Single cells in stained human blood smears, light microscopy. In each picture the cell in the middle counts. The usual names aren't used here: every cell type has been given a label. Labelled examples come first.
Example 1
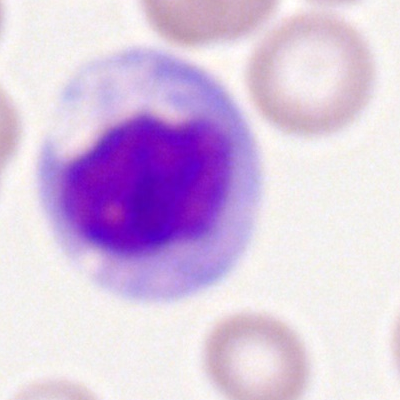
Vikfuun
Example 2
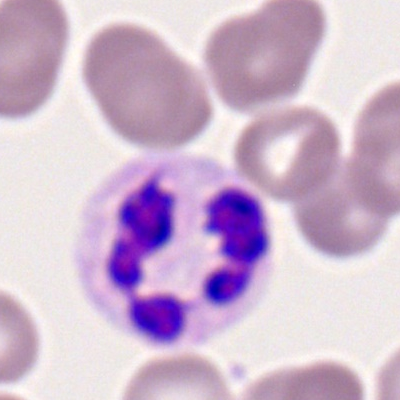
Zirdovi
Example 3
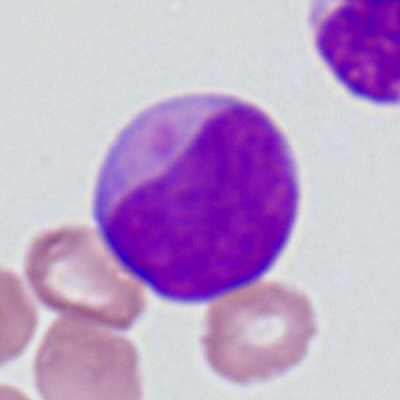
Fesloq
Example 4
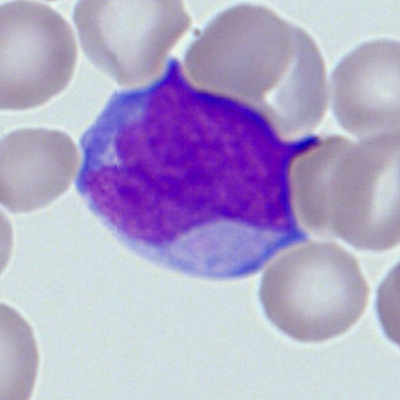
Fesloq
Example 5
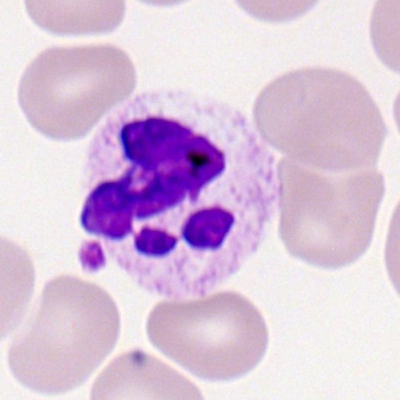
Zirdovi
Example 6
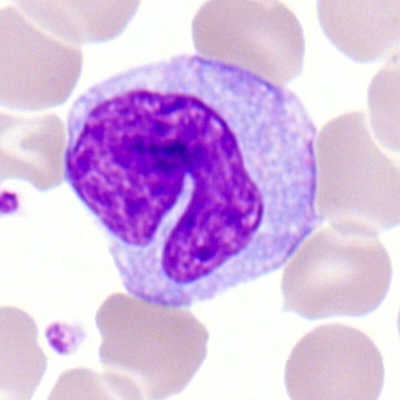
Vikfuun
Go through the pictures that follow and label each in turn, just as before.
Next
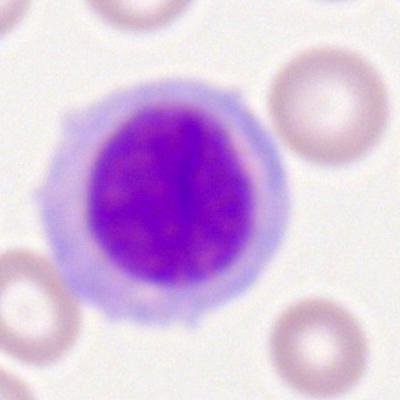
Vikfuun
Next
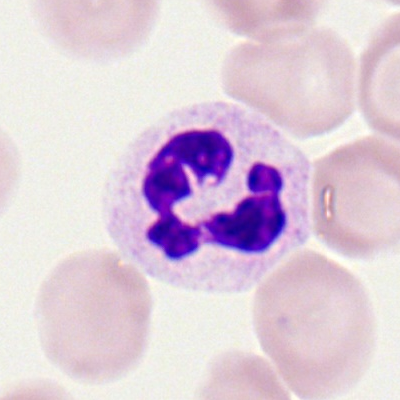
Zirdovi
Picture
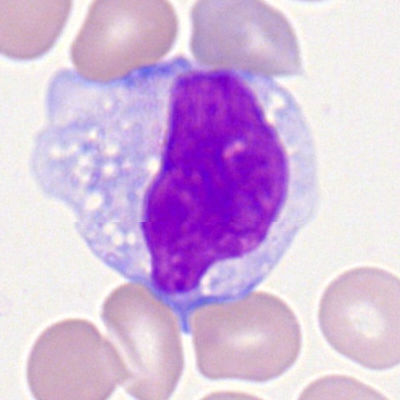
Vikfuun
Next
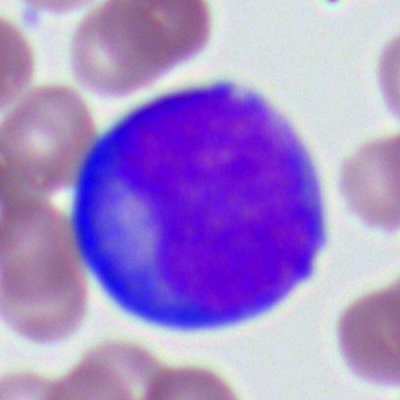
Fesloq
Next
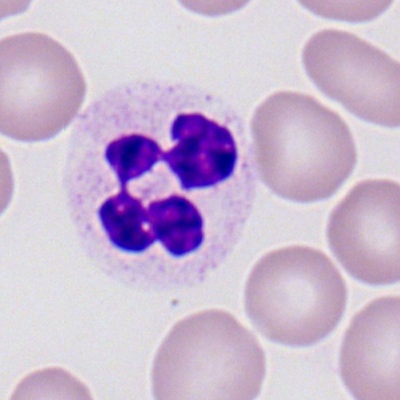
Zirdovi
